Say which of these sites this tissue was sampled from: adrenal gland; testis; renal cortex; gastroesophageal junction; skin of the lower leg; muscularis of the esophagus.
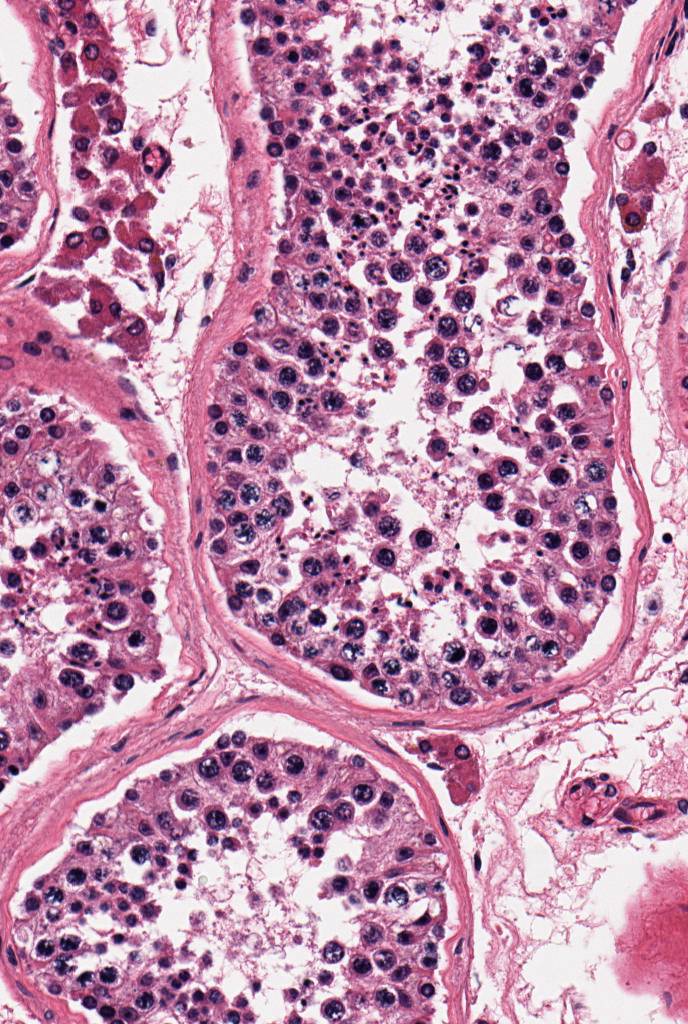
testis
